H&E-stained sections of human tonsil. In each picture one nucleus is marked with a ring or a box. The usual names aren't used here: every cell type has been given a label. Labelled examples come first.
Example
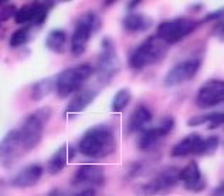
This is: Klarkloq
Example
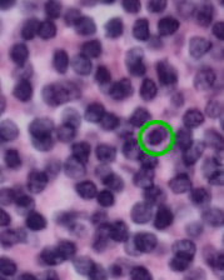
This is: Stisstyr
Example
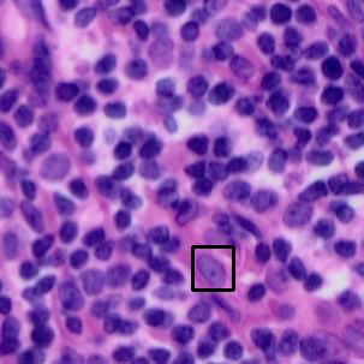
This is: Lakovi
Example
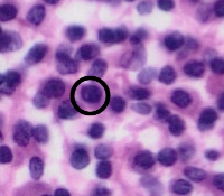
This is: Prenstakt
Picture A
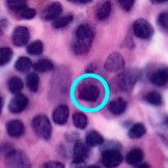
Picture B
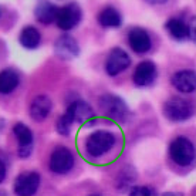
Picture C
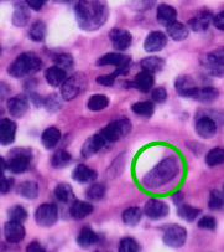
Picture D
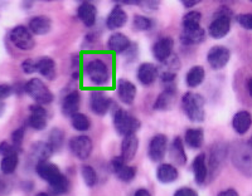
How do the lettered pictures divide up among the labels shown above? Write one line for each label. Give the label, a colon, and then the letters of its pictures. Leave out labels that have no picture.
Lakovi: A, C
Prenstakt: B, D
